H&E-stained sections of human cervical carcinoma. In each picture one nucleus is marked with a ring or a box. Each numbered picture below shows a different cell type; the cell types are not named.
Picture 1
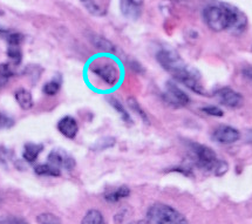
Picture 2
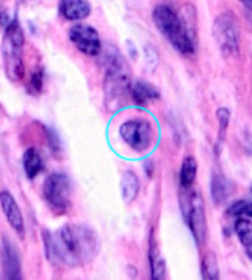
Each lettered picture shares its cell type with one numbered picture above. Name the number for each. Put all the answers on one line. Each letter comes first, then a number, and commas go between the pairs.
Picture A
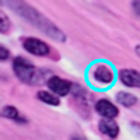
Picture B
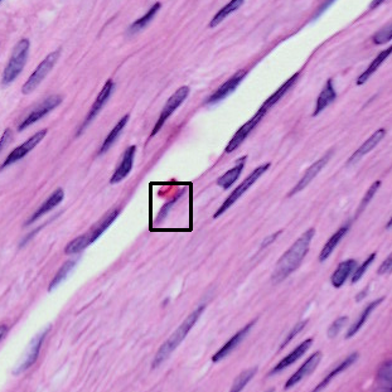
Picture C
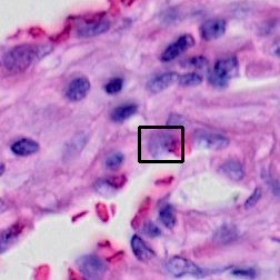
A 2, B 1, C 1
